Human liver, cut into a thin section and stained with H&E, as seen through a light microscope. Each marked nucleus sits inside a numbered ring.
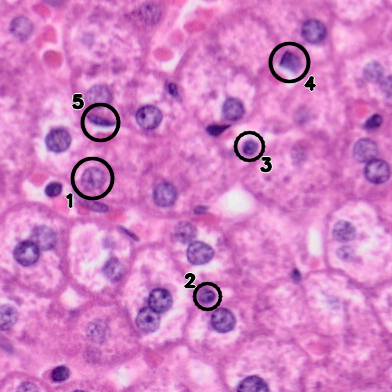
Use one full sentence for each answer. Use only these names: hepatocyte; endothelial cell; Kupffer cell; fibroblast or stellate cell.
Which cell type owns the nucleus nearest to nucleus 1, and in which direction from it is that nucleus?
Lying below nucleus 1, the nearest nucleus is that of a Kupffer cell.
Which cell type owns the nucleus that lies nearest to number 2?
It is a hepatocyte whose nucleus is nearest to number 2.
